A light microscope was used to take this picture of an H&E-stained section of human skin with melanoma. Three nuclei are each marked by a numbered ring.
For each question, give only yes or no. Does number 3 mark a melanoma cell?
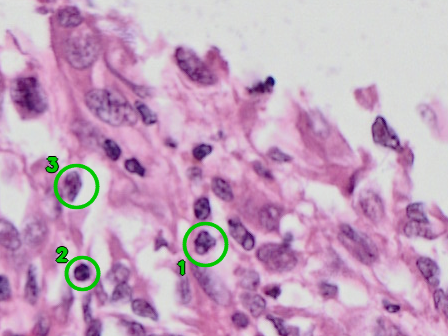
yes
